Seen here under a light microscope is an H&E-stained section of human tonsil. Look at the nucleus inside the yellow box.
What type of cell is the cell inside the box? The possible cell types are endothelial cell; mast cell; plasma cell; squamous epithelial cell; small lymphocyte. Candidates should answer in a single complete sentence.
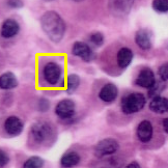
In the tissue under study, the cell inside the box is a plasma cell.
